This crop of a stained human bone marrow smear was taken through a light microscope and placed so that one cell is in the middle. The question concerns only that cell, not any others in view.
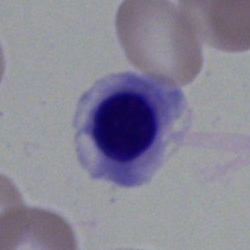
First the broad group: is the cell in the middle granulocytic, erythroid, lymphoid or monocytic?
erythroid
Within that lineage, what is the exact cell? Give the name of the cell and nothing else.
erythroblast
